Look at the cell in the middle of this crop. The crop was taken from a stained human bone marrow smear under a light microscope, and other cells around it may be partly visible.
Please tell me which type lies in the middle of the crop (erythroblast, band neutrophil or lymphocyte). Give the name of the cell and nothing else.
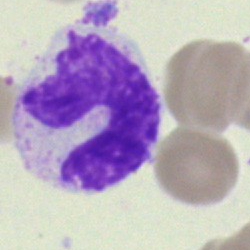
band neutrophil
